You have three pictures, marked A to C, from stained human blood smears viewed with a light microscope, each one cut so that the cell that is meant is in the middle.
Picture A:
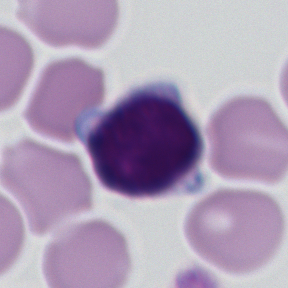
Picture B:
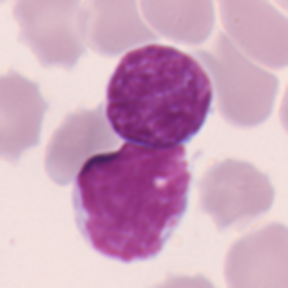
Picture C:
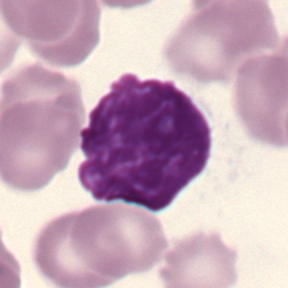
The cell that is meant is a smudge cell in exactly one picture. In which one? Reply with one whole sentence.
It is picture C that shows the smudge cell.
